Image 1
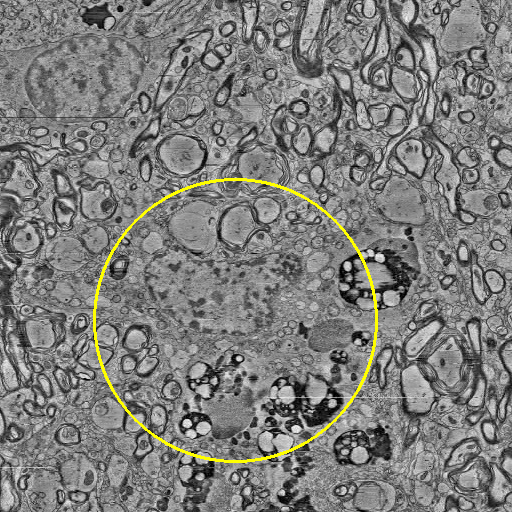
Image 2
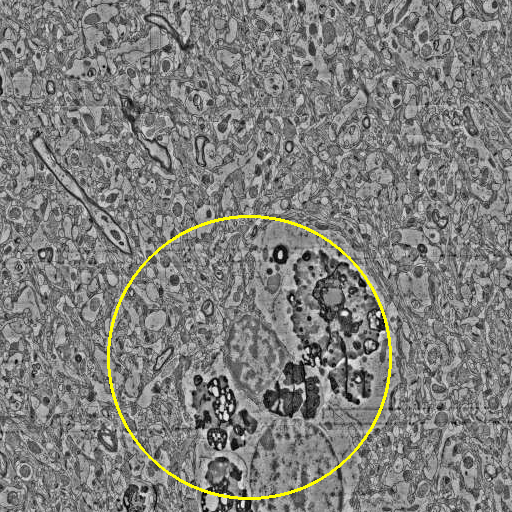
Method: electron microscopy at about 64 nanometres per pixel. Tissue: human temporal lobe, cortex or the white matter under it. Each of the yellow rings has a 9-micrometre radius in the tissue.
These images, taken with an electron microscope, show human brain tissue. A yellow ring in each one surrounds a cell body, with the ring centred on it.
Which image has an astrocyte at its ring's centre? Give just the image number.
1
